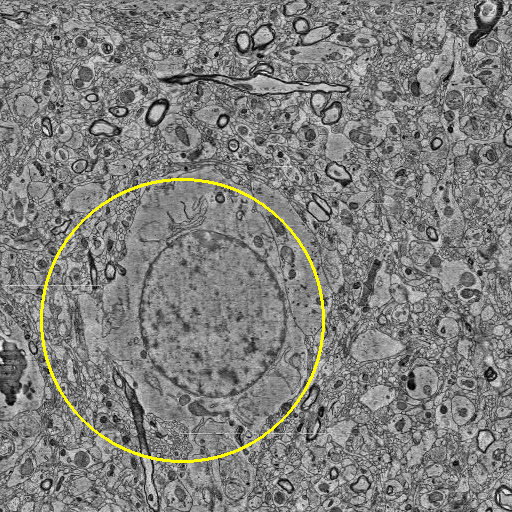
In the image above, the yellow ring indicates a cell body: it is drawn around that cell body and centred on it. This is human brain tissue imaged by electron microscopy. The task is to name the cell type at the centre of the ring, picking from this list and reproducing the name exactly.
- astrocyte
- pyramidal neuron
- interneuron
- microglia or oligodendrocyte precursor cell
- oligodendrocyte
astrocyte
